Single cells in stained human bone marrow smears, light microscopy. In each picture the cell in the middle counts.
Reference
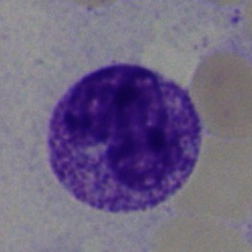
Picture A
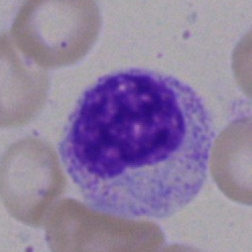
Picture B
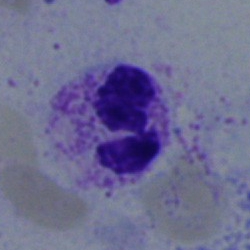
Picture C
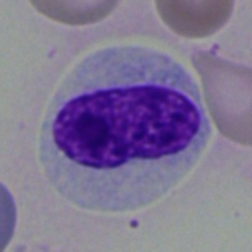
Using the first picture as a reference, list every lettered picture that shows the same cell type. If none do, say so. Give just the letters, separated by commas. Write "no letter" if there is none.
A, C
